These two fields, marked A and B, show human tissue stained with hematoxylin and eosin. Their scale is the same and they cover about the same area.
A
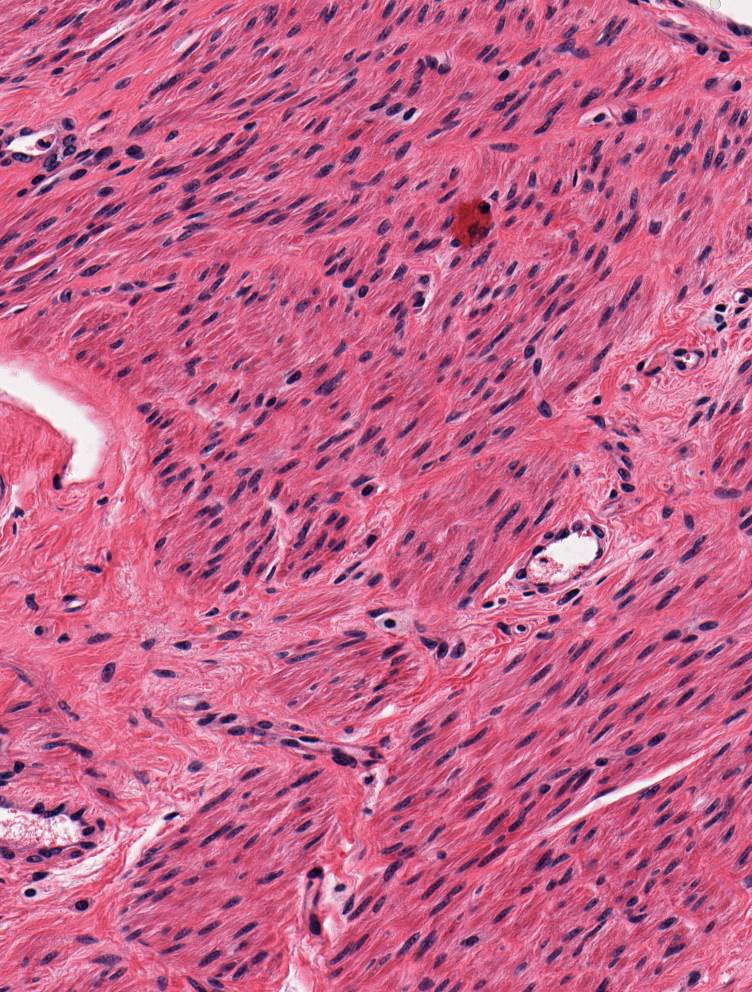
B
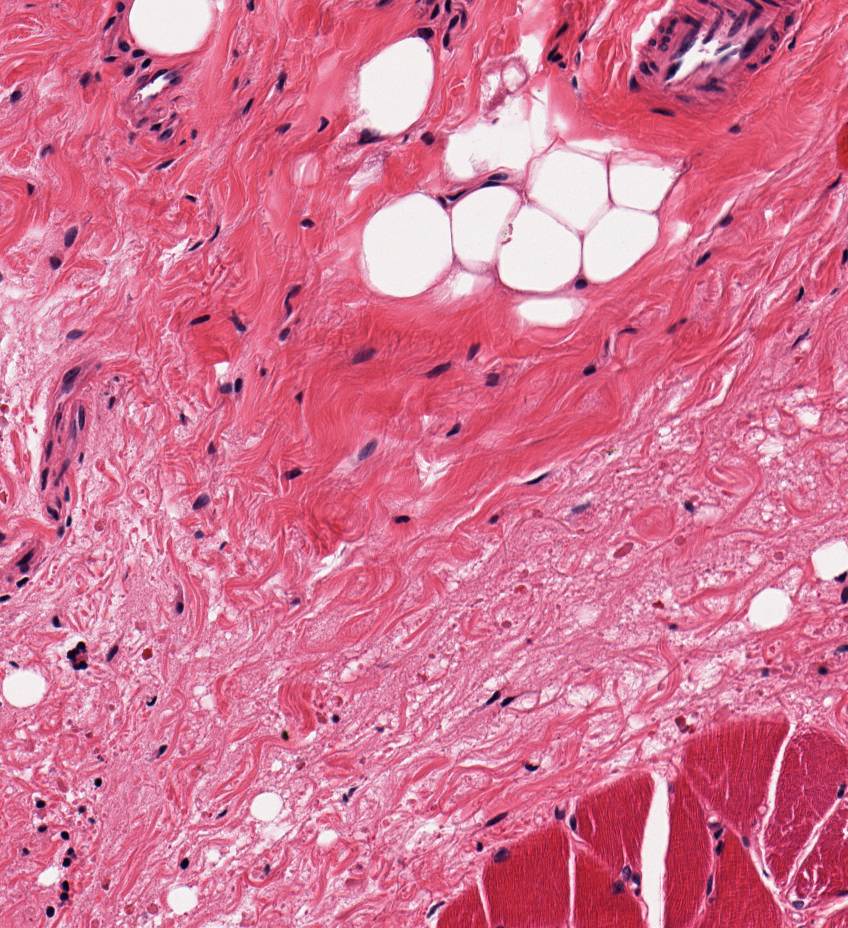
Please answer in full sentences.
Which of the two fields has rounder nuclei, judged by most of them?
The nuclei are rounder in field B.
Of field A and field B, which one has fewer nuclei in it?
Field B holds fewer nuclei than field A.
